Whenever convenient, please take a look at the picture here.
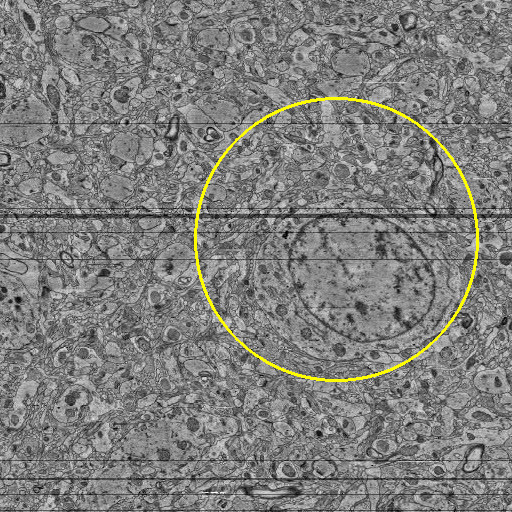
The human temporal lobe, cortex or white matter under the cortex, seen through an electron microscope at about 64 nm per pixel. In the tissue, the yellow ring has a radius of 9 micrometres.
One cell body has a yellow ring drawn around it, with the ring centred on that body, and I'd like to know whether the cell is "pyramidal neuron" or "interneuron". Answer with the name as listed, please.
pyramidal neuron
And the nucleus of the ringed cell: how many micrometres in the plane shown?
About 10 by 8 micrometers, in this plane.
